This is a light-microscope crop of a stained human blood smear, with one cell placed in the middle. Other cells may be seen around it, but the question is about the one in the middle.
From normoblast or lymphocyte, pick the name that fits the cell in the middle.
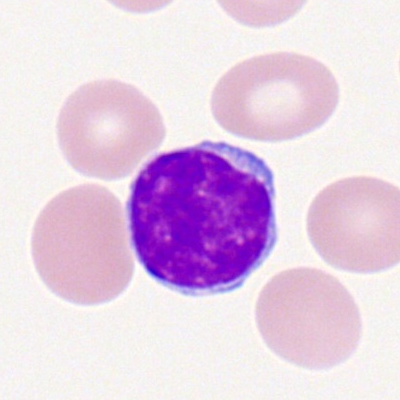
lymphocyte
